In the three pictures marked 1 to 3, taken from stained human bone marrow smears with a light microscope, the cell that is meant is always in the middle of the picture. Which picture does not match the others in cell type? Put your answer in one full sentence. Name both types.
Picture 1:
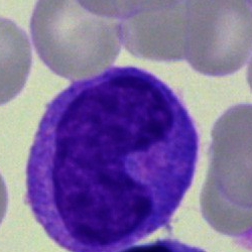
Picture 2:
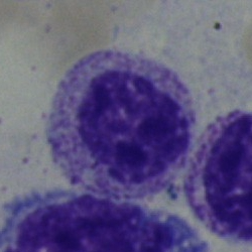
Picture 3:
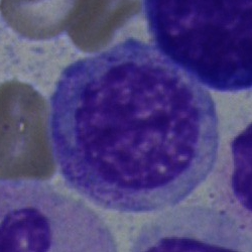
Unlike the rest, which show myelocytes, picture 1 shows a monocyte.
